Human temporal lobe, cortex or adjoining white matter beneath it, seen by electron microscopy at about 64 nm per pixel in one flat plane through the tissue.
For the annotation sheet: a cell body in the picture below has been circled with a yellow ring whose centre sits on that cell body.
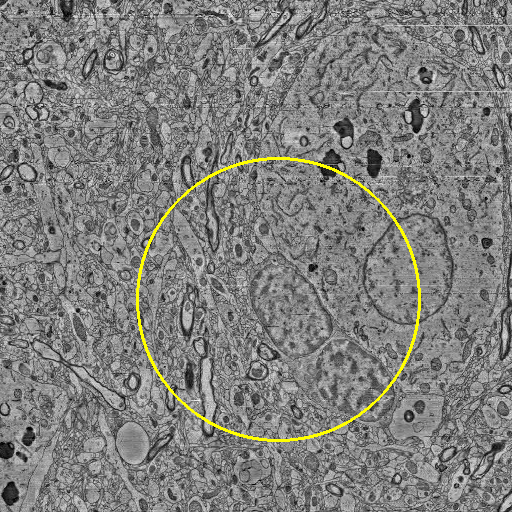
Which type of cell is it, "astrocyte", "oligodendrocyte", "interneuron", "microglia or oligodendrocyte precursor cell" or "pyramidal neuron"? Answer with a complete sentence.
The circled cell is an oligodendrocyte.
